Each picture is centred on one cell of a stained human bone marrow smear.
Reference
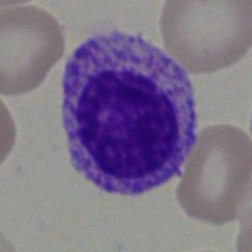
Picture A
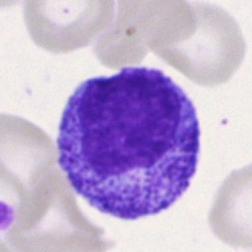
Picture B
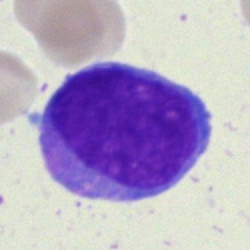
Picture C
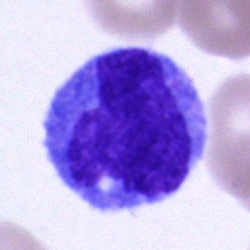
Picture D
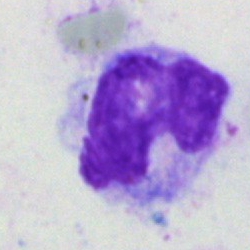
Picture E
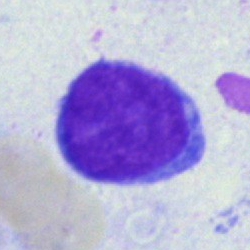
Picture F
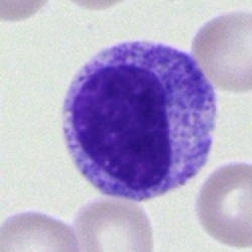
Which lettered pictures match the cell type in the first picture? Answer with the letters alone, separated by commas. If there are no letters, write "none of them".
A, F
